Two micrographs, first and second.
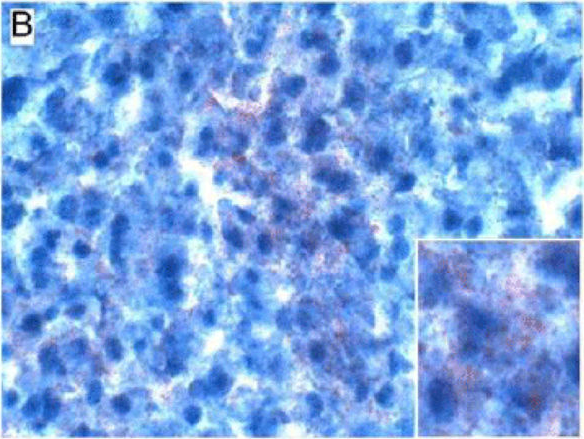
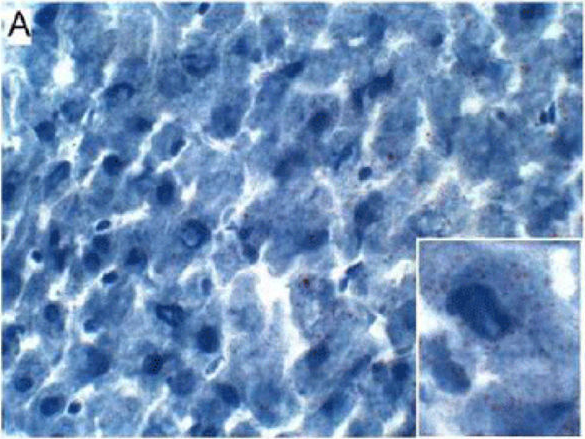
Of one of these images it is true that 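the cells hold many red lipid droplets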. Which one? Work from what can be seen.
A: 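First image: dense fine red droplets fill the cytoplasm of many cells. Second image: red droplets are rare and faint among the blue-stained cells.
Answer: the first image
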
